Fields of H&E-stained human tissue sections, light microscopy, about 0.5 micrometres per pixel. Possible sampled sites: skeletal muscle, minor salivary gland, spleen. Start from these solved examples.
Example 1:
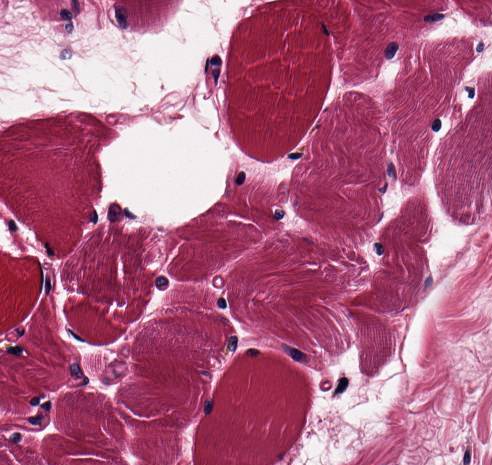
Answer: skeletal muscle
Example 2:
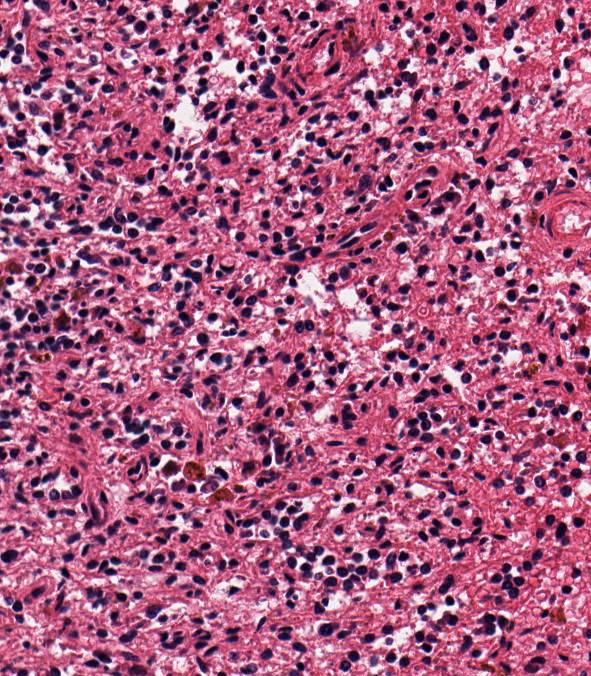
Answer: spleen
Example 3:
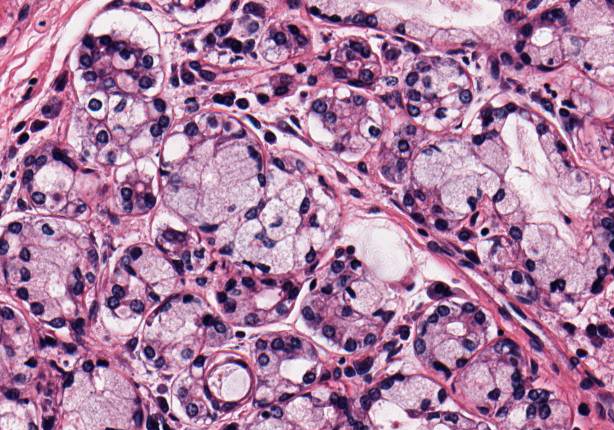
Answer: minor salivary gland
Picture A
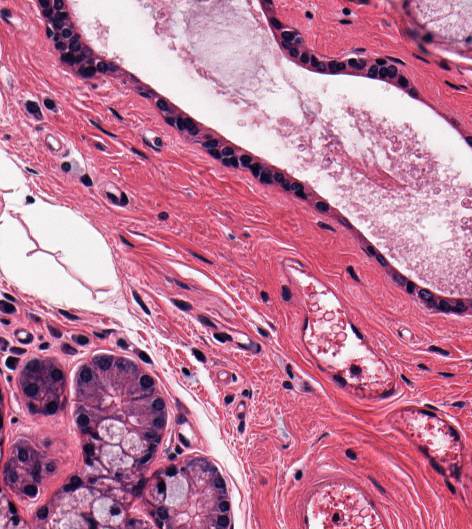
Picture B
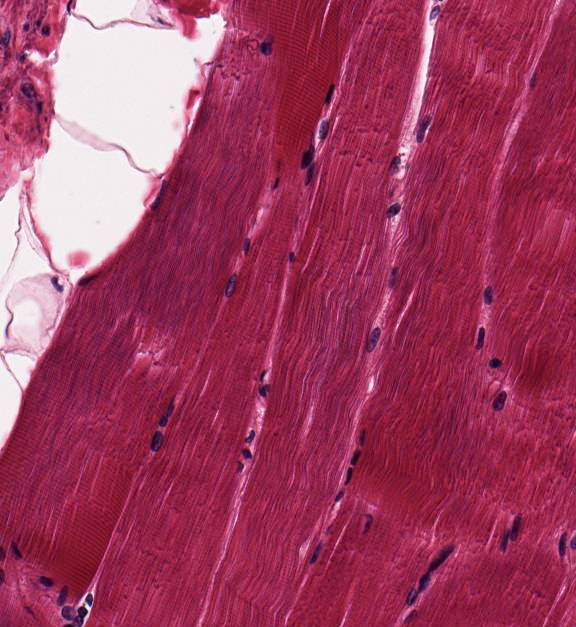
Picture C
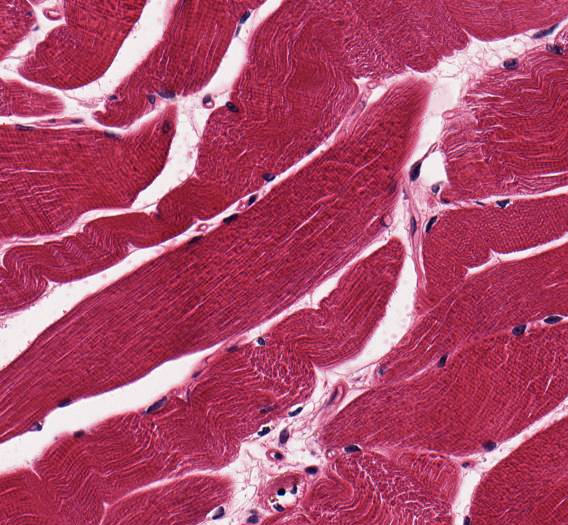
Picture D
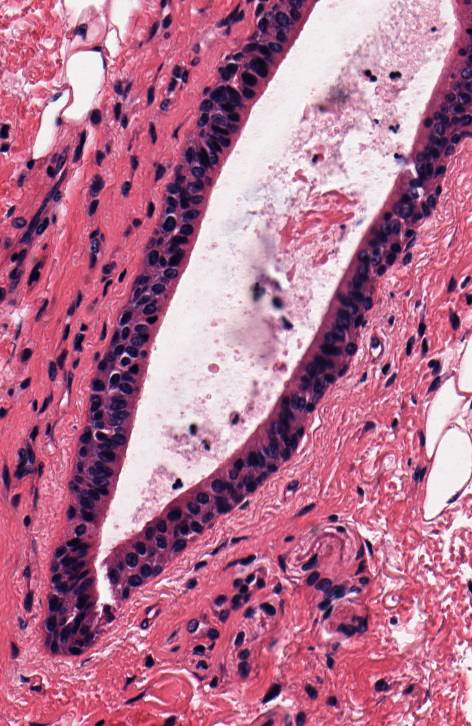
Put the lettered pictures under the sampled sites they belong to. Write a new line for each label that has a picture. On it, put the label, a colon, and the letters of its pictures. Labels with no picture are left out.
skeletal muscle: B, C
minor salivary gland: A, D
